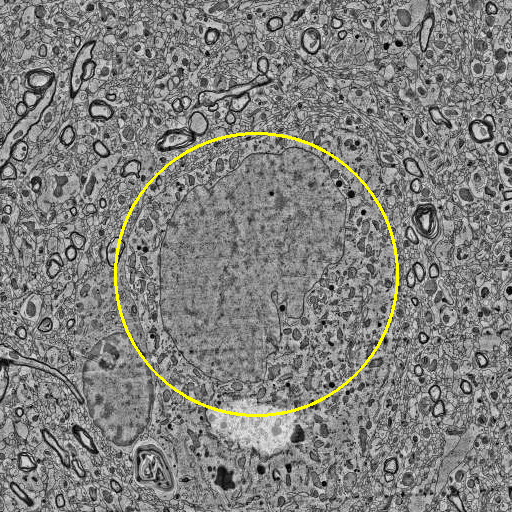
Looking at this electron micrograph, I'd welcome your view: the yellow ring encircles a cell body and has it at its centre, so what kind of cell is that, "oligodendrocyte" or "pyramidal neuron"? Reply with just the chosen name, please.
pyramidal neuron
